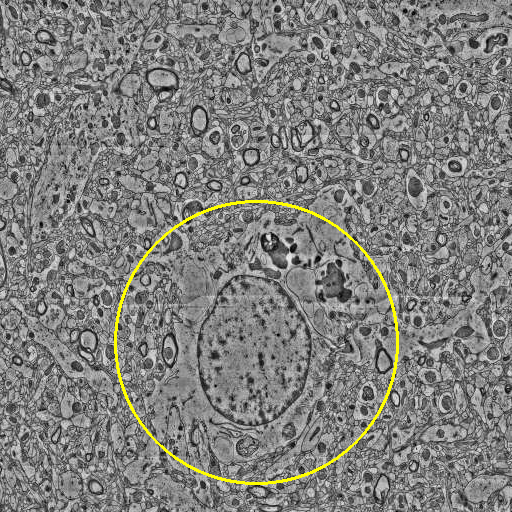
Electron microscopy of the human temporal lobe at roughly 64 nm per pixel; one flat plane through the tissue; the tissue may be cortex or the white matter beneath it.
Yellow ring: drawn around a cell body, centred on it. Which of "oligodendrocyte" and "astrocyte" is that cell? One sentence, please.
That cell body is from an astrocyte.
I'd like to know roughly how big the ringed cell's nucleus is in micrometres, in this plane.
The ringed cell's nucleus measures approximately 10 by 7 micrometres in this plane.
